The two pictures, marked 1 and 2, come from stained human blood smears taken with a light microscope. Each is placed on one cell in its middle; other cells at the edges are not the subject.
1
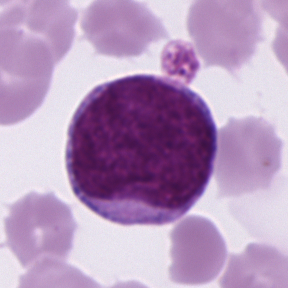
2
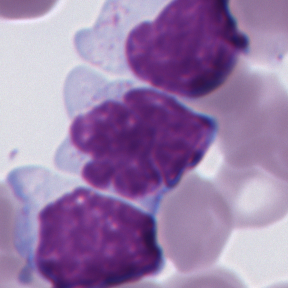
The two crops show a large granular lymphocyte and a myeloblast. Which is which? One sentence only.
Crop 1 has a myeloblast at its centre, and crop 2 has a large granular lymphocyte.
